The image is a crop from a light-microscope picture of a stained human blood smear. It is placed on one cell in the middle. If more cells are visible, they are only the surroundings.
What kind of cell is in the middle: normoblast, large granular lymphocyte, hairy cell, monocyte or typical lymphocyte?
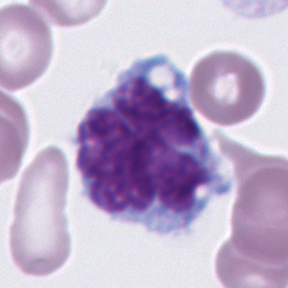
monocyte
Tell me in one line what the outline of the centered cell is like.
An uneven margin is present, with either ragged stretches or outward projections.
